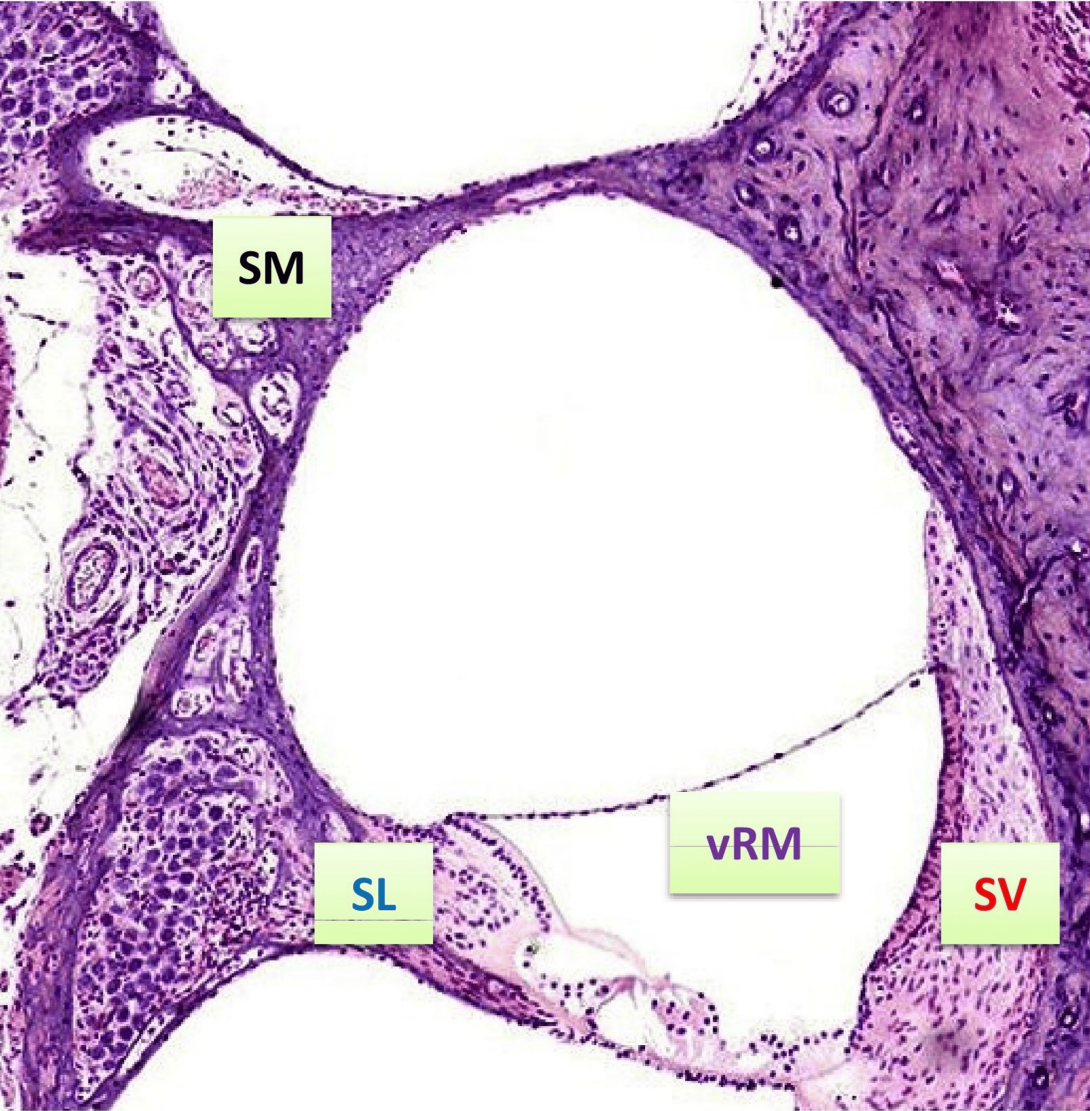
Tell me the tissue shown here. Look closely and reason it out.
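A large round fluid space is walled by thin tissue. A very thin membrane stretches across a fluid space near the bottom. Pink matrix with scattered cells in lacunae surrounds the spaces on the right. Bundles of fibres and clusters of round cells lie on the left.
Hence: cochlea.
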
